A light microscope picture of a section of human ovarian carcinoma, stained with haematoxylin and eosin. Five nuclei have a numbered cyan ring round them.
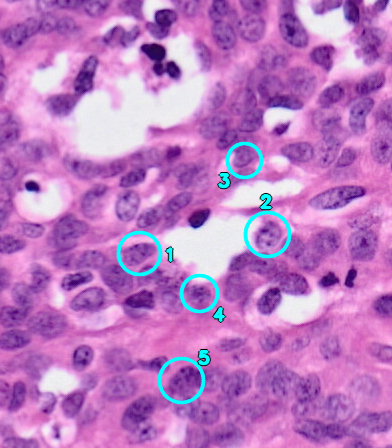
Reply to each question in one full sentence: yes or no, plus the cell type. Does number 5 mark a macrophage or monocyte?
No, the cell given number 5 is a carcinoma cell, as opposed to a macrophage or monocyte.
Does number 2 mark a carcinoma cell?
No, the one with number 2 is a macrophage or monocyte, not a carcinoma cell.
